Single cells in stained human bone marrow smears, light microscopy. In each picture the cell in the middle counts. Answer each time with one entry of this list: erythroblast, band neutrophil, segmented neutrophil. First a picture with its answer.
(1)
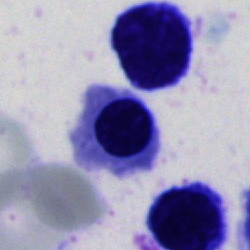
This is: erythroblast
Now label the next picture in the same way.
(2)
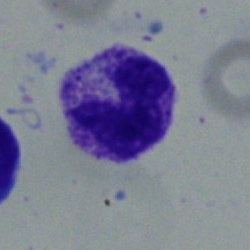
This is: segmented neutrophil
